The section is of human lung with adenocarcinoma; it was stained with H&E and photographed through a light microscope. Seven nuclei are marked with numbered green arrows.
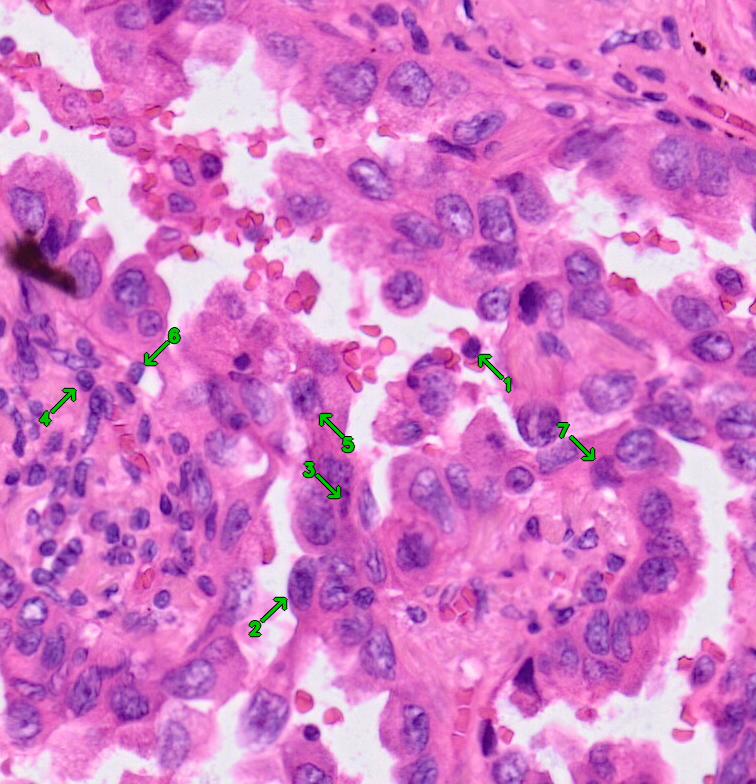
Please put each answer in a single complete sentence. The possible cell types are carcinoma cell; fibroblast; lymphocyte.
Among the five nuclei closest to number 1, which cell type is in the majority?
Most of the five nuclei nearest to number 1 are those of carcinoma cells.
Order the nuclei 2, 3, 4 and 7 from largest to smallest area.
Largest first, the order by area is 2, 7, 4, 3.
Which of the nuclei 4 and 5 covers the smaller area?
It is nucleus 4; nucleus 5 has about 4 times its area.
